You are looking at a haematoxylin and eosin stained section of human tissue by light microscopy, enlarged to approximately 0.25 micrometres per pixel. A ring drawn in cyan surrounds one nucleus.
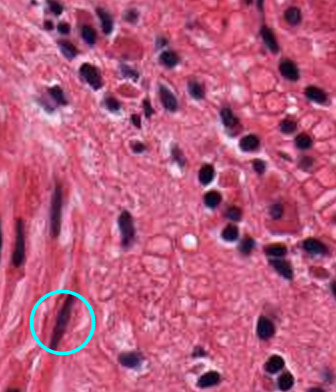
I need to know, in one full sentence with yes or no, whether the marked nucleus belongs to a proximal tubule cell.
No, it is not a proximal tubule cell that the marked nucleus belongs to.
